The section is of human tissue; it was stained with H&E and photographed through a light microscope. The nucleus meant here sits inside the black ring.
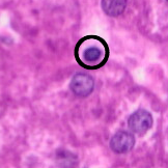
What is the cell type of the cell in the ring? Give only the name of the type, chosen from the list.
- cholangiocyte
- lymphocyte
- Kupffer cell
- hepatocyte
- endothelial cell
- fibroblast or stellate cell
lymphocyte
